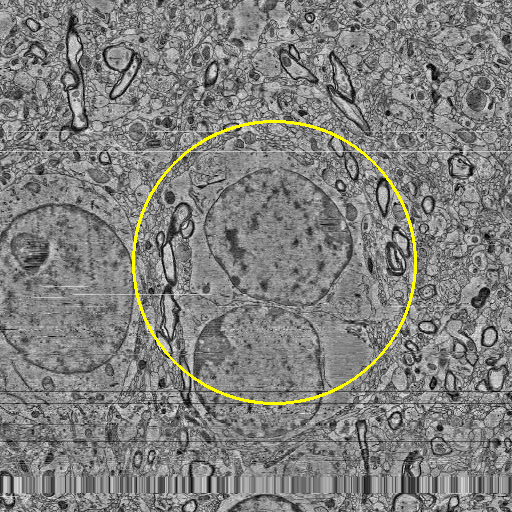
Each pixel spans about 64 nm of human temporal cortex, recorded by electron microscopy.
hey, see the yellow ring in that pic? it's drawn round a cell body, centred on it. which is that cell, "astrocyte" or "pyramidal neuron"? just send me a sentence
The cell in the ring is an astrocyte.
